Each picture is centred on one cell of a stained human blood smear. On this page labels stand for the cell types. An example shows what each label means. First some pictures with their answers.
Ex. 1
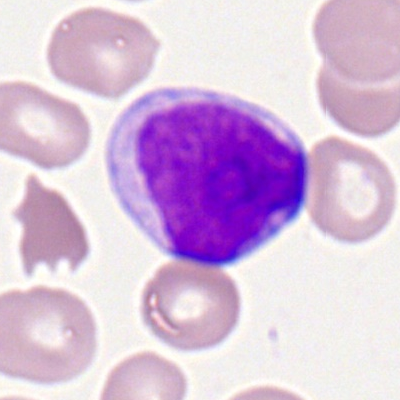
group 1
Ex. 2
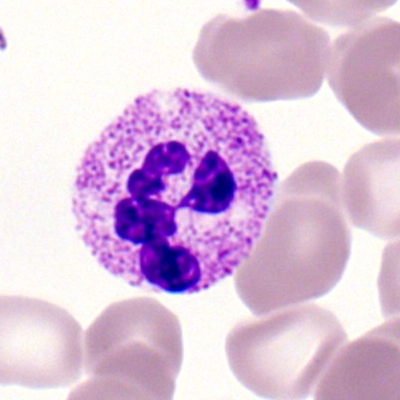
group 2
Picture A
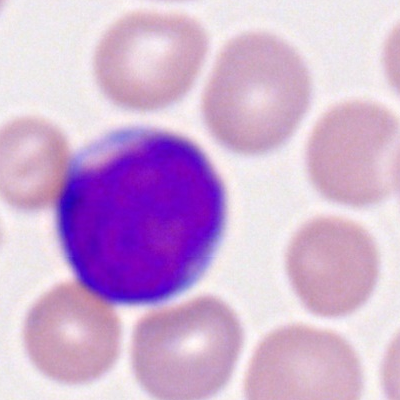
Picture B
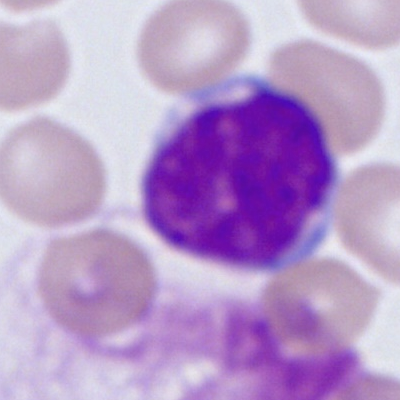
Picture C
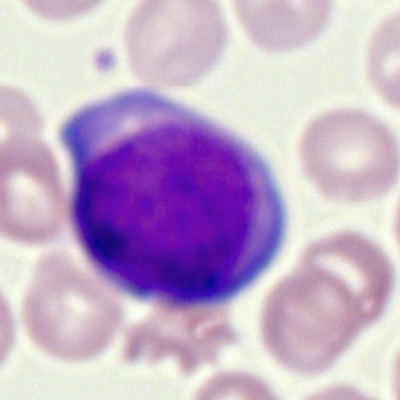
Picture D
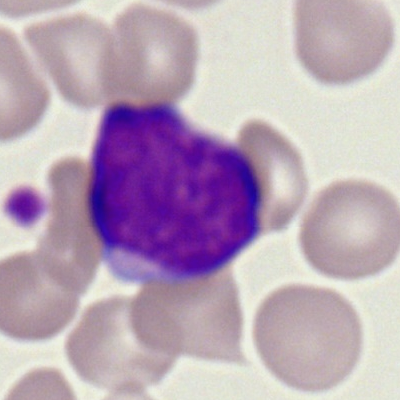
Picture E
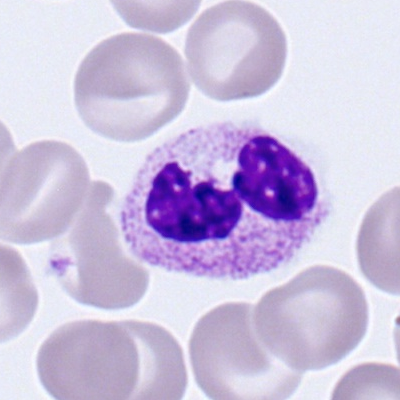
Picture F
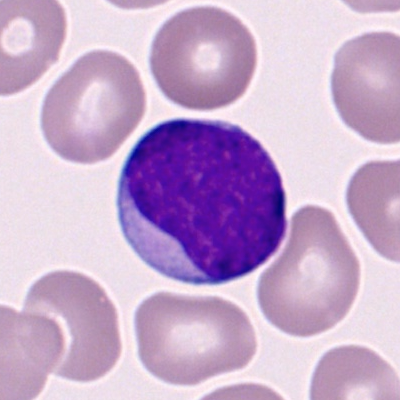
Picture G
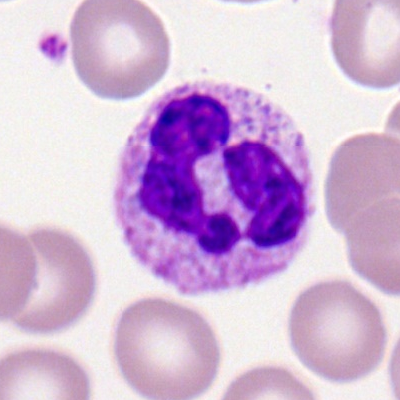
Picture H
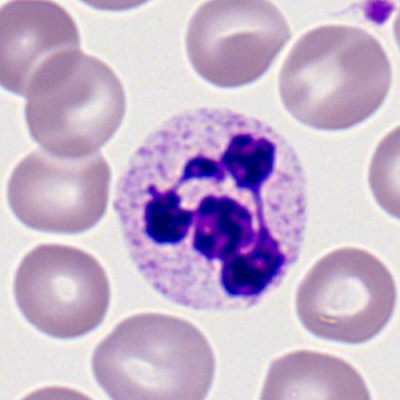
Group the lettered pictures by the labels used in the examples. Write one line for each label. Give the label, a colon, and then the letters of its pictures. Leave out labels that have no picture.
group 1: A, B, C, D, F
group 2: E, G, H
